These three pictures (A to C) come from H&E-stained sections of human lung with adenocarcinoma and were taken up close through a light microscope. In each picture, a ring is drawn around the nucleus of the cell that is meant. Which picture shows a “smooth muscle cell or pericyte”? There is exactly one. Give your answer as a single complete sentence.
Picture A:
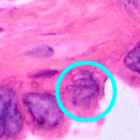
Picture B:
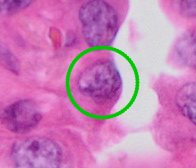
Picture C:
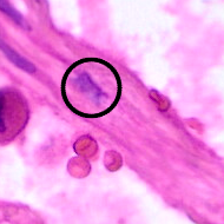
It is picture C that shows the “smooth muscle cell or pericyte”.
